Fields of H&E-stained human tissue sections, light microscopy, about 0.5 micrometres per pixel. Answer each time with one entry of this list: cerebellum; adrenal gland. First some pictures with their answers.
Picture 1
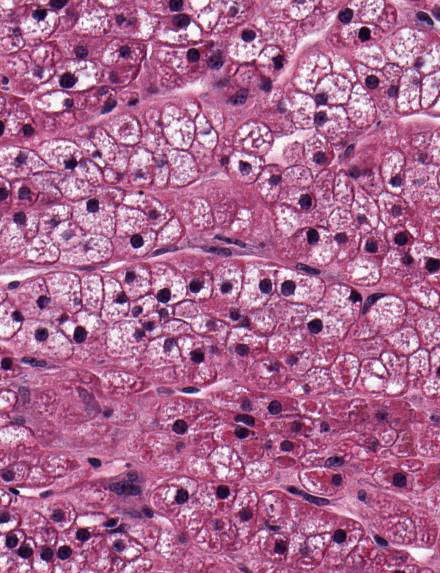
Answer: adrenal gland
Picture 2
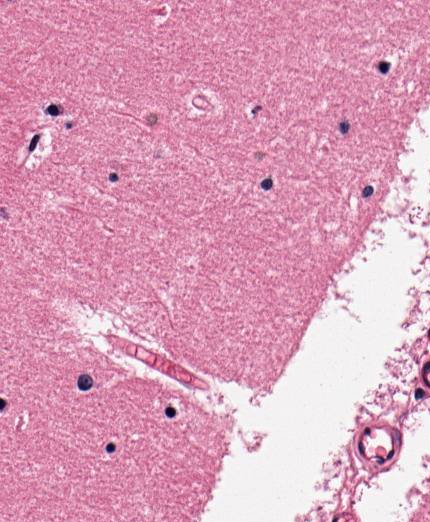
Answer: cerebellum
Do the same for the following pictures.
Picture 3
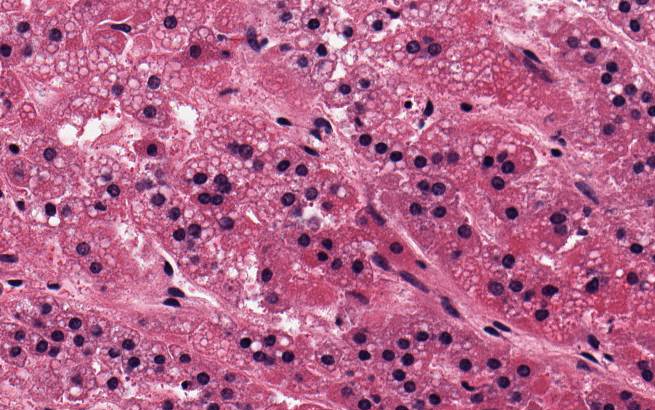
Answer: adrenal gland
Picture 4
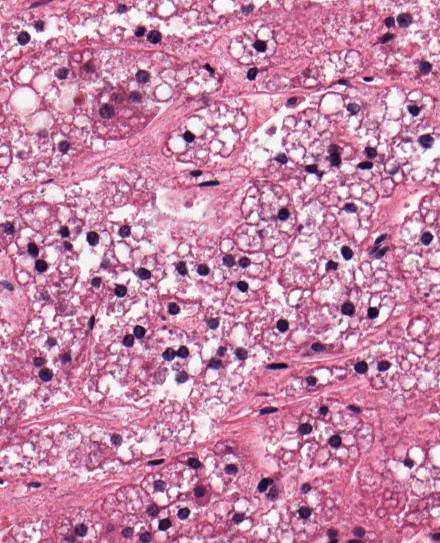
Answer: adrenal gland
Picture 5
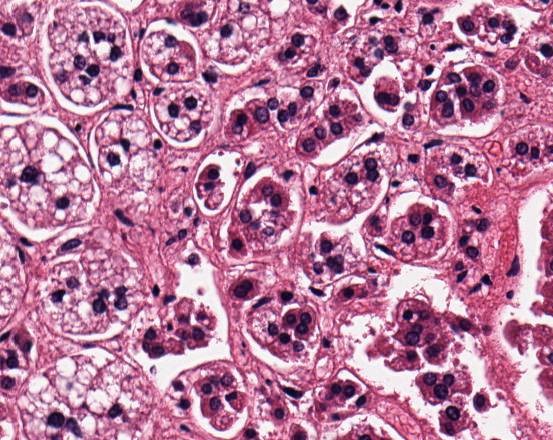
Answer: adrenal gland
